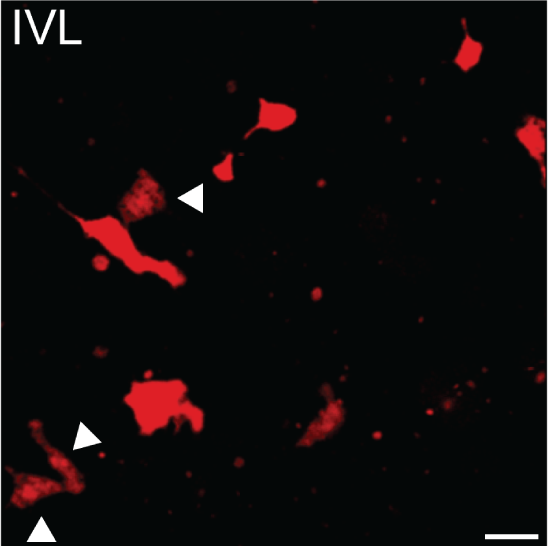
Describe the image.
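Same field of spread keratinocytes seen in the red channel: only a minority of cells fluoresce, most of the field being dark. A few cells are intensely and uniformly red, with irregular, spread or elongated outlines and tapering extensions. Other cells show weaker, mottled red fluorescence with ill-defined borders. Small faint red specks are scattered in the background. The brightly red cells are isolated from one another rather than forming a continuous group, and their shapes match spread adherent cells rather than rounded detached ones.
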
